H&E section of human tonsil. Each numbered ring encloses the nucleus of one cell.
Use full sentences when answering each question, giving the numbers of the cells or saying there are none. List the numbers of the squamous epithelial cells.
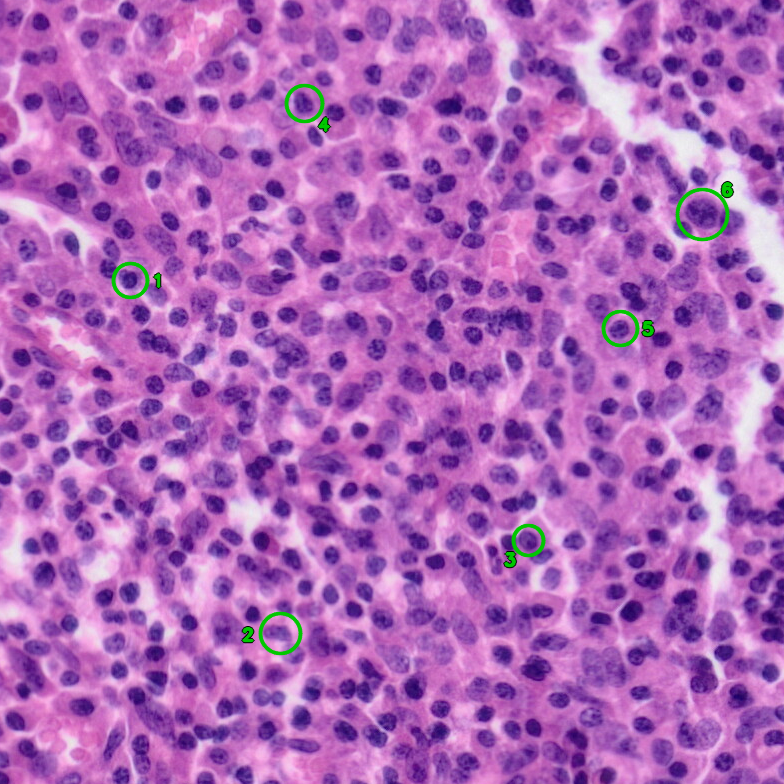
The cells referred to by numbers 2 and 6 are squamous epithelial cells.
